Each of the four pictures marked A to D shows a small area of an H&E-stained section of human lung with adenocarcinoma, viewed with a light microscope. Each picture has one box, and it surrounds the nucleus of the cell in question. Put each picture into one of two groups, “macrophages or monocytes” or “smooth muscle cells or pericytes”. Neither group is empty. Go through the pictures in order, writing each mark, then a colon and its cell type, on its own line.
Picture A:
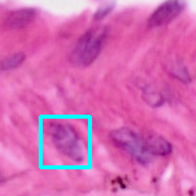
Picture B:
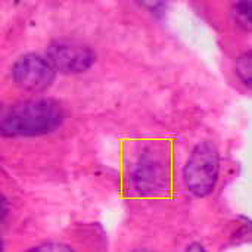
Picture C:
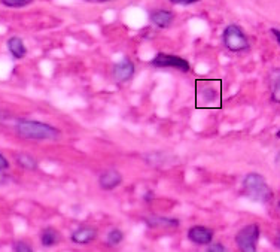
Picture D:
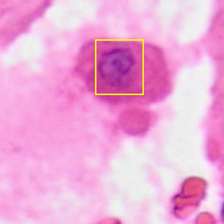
A: smooth muscle cell or pericyte
B: macrophage or monocyte
C: smooth muscle cell or pericyte
D: macrophage or monocyte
